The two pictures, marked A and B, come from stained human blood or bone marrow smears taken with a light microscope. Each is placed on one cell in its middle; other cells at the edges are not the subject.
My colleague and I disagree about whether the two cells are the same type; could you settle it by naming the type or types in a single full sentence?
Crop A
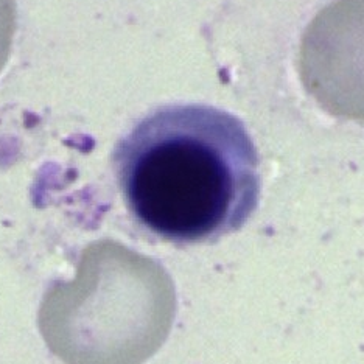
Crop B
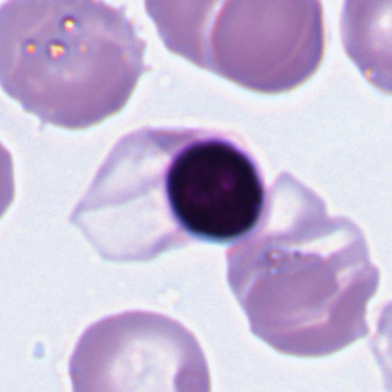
Yes, the two cells in the two crops are erythroblasts.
